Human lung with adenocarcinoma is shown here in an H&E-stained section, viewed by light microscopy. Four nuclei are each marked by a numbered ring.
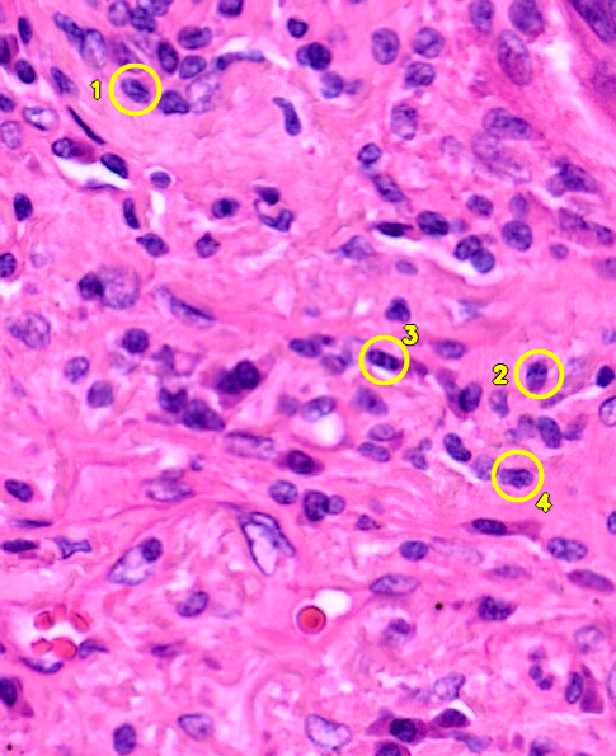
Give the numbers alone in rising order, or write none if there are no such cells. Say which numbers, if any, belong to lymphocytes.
1, 2, 4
